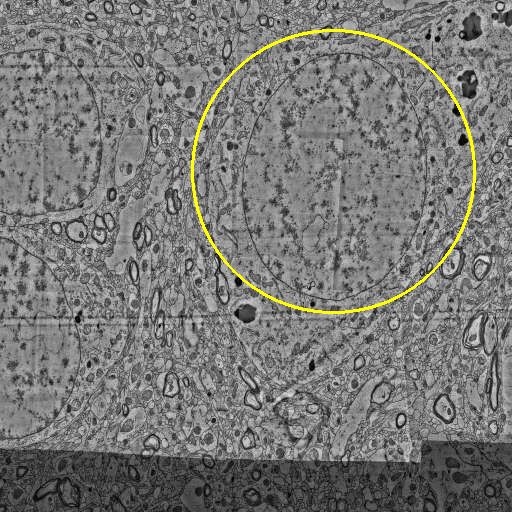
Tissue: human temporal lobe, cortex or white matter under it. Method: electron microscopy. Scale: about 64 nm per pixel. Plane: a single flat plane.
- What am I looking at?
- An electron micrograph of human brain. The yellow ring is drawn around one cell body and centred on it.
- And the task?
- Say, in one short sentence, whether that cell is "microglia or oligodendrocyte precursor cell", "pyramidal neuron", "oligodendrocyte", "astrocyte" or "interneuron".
The cell in the middle of the ring is a pyramidal neuron.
